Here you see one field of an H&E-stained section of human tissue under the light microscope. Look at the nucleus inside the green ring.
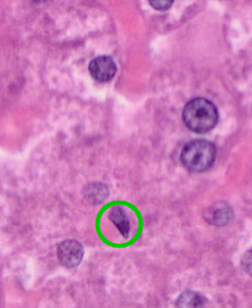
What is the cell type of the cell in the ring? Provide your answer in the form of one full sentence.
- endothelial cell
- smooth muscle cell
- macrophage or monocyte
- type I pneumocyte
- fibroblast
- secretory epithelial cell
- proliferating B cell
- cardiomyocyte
Microscopically, the cell in the ring is categorized as an endothelial cell.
